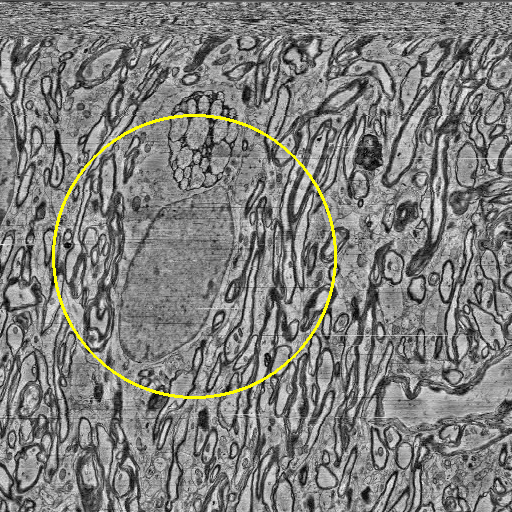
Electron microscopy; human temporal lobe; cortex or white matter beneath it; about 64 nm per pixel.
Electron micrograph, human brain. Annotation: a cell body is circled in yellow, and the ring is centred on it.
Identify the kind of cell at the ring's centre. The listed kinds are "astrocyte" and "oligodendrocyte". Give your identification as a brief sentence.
The circled cell body is that of an astrocyte.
